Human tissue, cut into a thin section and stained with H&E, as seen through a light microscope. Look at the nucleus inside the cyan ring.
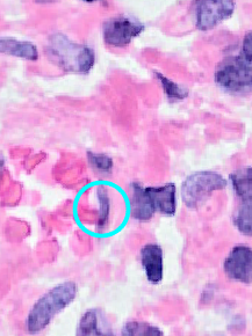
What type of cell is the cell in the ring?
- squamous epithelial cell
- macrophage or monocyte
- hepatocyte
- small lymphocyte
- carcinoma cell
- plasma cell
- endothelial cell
endothelial cell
